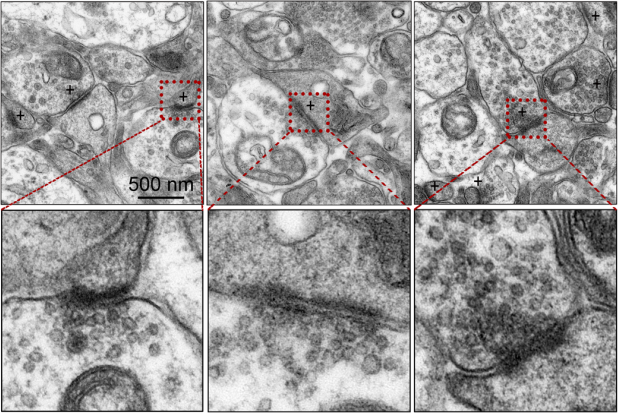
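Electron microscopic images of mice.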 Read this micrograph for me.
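These are transmission electron micrographs of neuropil, with enlarged views of asymmetric synapses beneath. Profiles of axon terminals are packed with small round clear vesicles and lie against postsynaptic profiles. Where they meet, the postsynaptic membrane carries a dark, dense thickening, the postsynaptic density, which is much thicker than the presynaptic side. Mitochondria with membranous cristae lie scattered among the profiles.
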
